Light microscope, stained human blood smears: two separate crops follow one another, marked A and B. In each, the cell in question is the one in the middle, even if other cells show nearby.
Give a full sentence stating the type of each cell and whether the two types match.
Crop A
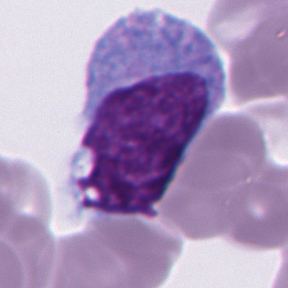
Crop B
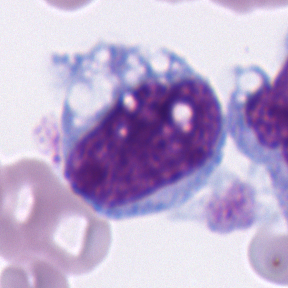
Yes, the central cells in both of the crops are monocytes.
